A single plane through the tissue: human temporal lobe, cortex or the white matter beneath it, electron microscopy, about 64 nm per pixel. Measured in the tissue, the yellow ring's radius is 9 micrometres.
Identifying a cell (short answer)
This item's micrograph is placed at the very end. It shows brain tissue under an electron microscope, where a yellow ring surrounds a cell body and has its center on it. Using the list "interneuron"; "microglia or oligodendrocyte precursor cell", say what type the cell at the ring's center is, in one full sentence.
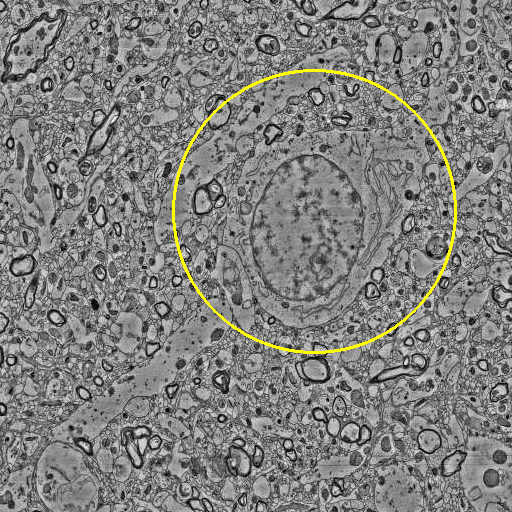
This picture shows an interneuron at the center of the yellow ring drawn on it.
